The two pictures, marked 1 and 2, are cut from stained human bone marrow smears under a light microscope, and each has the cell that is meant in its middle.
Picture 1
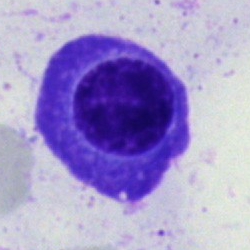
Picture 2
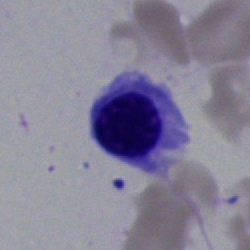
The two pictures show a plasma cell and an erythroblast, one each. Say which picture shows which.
1: plasma cell
2: erythroblast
